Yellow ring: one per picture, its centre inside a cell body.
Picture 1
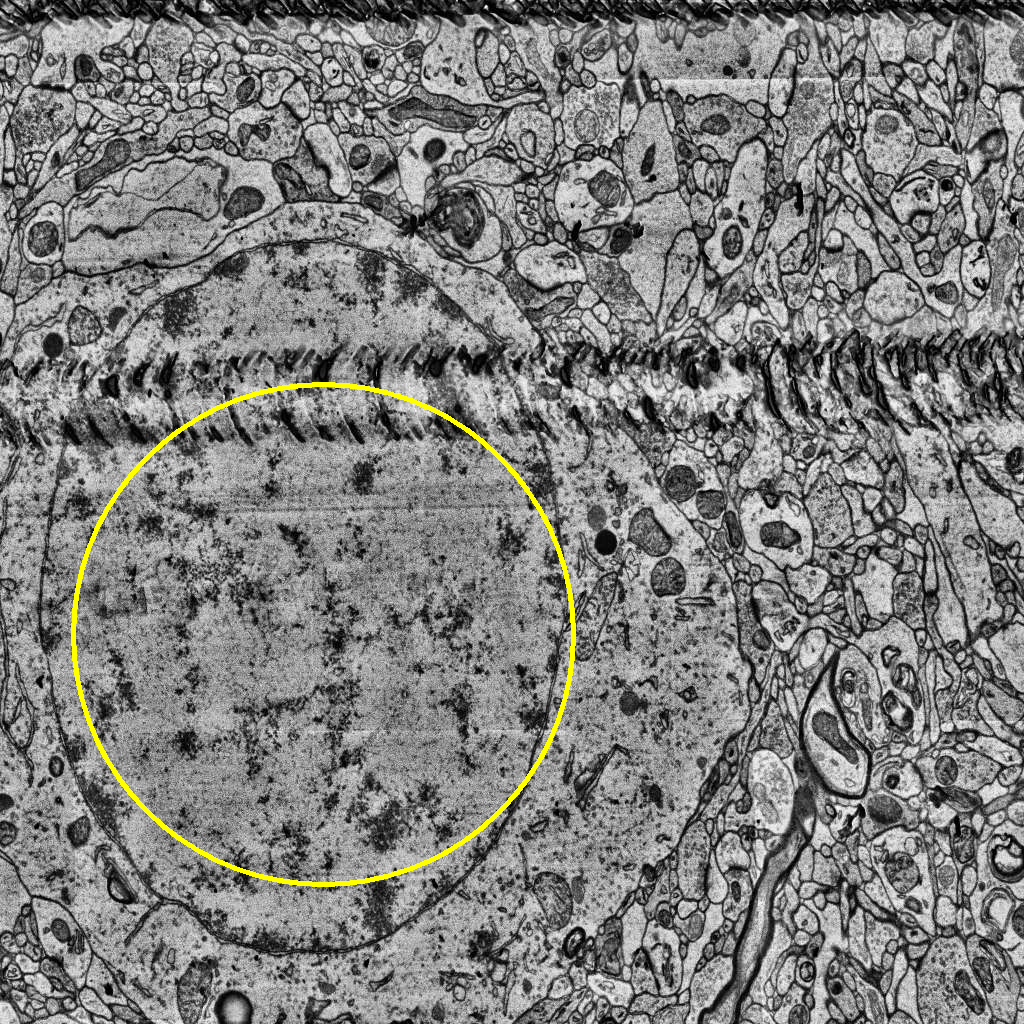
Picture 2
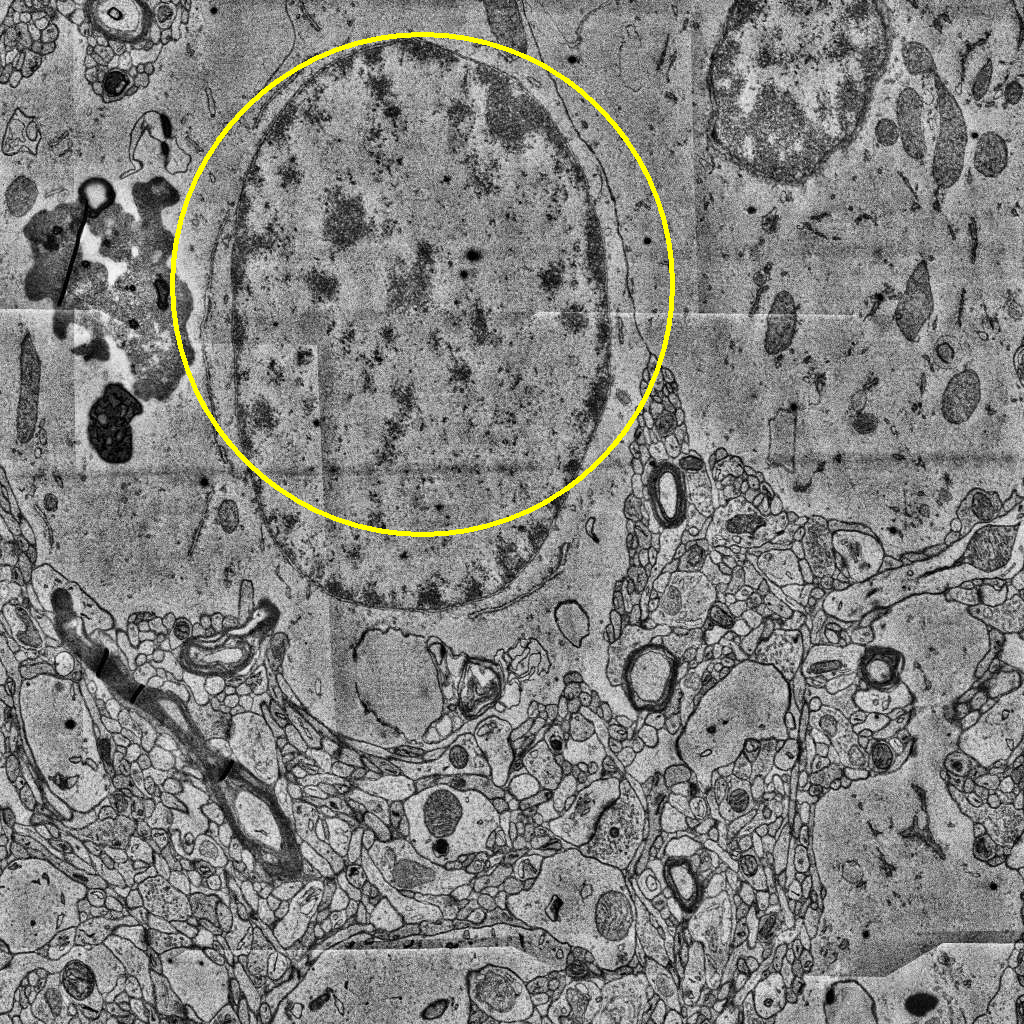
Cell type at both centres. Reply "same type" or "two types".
two types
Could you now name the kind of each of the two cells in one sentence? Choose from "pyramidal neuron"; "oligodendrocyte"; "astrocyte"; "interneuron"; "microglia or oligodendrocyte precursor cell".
The first cell is a pyramidal neuron; the second is an astrocyte.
